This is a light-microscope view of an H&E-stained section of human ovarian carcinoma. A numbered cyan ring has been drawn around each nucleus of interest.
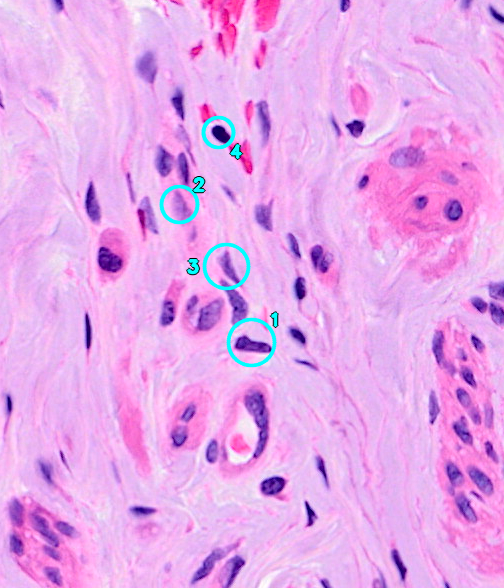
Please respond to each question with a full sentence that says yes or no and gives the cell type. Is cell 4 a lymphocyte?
Yes, the cell bearing the number 4 is a lymphocyte.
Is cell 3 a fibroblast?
Yes, the cell at number 3 is a fibroblast.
